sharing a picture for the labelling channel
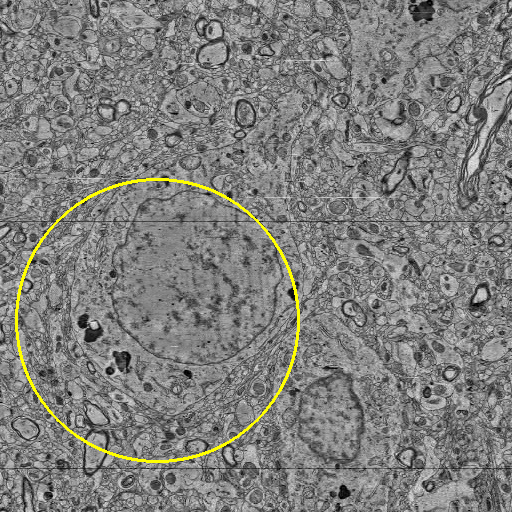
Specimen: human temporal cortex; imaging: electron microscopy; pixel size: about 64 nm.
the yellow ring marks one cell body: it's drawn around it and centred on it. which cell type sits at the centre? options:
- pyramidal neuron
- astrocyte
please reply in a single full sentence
In the picture, the cell at the ring's centre is a pyramidal neuron, going by the list.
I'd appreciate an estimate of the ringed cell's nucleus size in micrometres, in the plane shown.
In this plane the nucleus measures roughly 11 micrometres across.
